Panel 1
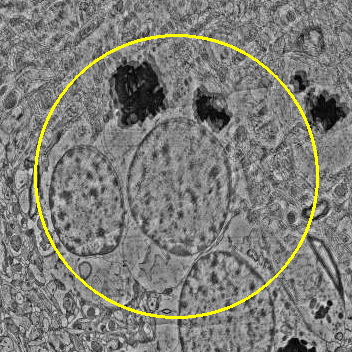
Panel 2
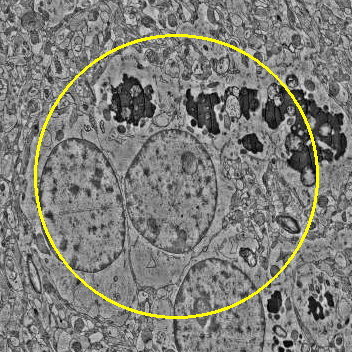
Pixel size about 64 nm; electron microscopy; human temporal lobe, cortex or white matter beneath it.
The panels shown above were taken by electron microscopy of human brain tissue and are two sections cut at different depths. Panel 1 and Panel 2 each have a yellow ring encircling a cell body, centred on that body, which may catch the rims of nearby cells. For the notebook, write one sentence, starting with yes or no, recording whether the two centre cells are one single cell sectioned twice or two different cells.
Yes, both marked profiles belong to the very same cell.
